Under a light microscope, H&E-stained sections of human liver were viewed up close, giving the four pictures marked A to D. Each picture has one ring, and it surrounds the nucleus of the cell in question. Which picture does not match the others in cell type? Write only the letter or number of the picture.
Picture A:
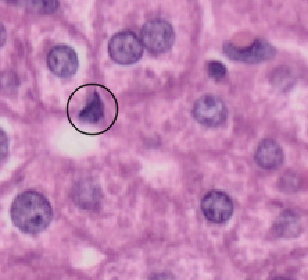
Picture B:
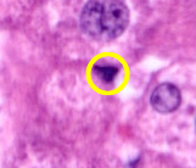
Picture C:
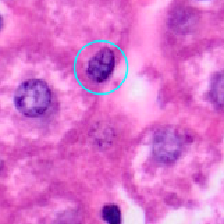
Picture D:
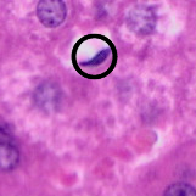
D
